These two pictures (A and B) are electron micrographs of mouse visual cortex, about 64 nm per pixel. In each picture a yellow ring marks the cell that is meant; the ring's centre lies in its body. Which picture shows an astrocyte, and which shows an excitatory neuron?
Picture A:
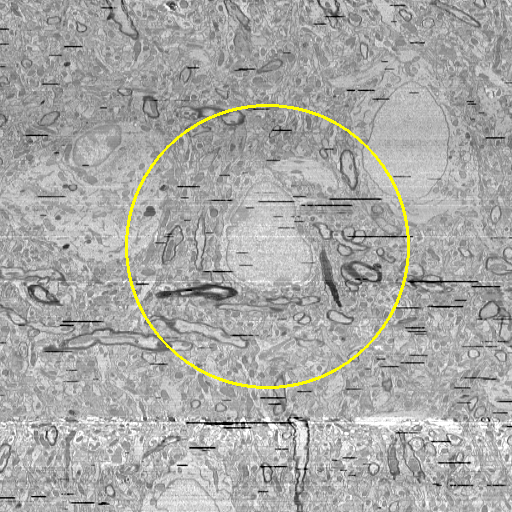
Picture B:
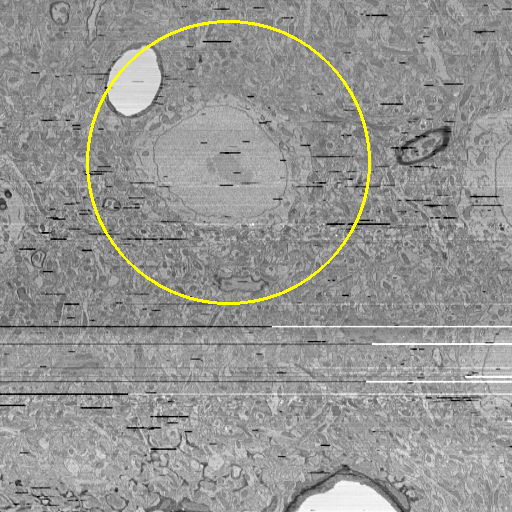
It is picture A that shows an astrocyte, and picture B that shows an excitatory neuron.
